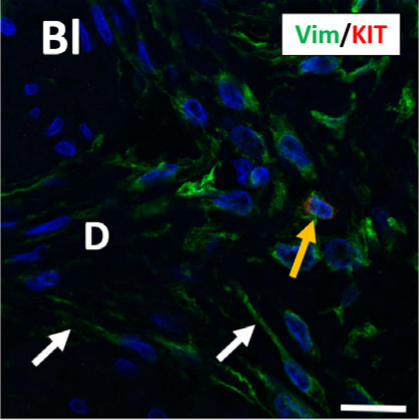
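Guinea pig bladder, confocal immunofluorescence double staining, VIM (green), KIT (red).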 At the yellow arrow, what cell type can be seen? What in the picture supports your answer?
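The marked cell is small and oval with a red rim around its blue nucleus. It stands out among many elongated cells with thin green processes. The answer: mast cells.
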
